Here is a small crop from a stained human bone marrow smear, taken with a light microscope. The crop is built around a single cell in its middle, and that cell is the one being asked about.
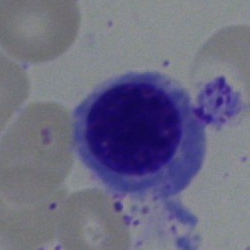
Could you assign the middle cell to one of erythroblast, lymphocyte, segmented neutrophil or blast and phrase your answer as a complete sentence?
In the central position of this crop, the cell is an erythroblast.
